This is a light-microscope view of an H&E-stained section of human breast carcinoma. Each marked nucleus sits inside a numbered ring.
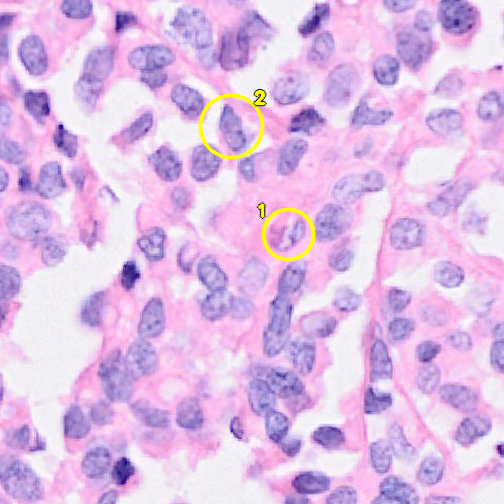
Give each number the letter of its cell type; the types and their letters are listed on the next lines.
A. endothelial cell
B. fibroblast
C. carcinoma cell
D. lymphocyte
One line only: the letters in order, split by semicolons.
A; C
